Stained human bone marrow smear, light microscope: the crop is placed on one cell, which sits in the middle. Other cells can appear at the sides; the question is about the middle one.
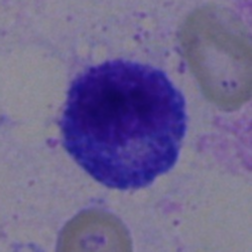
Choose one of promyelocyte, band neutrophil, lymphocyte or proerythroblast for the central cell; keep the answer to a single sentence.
The centrally positioned cell in the crop represents a promyelocyte.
